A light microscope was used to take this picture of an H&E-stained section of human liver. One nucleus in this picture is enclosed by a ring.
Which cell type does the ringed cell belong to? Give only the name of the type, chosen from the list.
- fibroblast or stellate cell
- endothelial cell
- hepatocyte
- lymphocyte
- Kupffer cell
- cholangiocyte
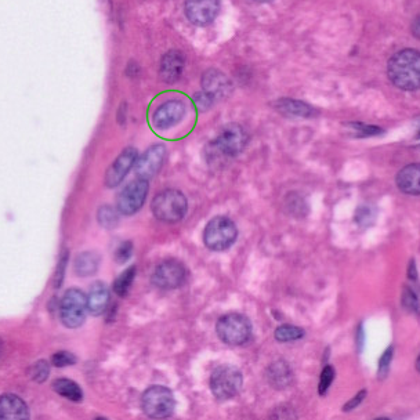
cholangiocyte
